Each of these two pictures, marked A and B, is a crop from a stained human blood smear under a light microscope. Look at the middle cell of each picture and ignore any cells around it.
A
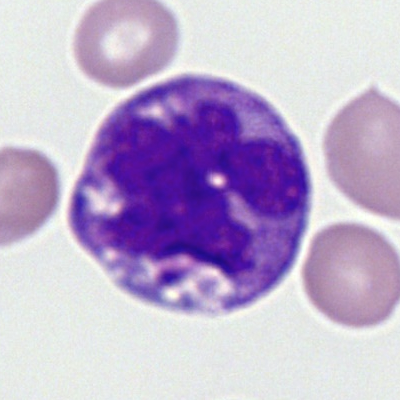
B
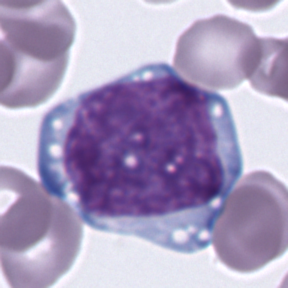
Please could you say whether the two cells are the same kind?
no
